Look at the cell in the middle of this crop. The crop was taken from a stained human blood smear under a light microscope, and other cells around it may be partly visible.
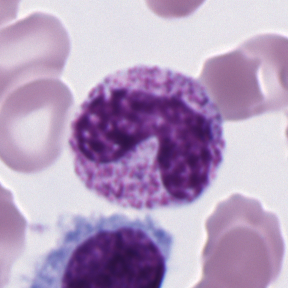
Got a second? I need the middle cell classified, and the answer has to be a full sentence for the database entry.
The middle cell in this particular crop is a band neutrophil.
